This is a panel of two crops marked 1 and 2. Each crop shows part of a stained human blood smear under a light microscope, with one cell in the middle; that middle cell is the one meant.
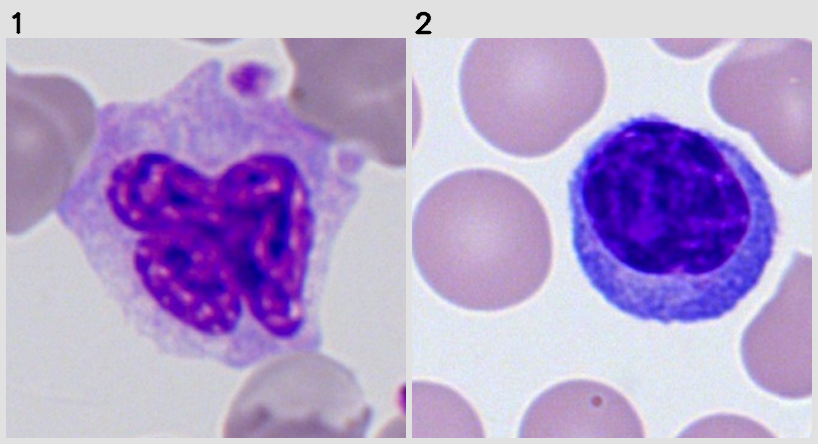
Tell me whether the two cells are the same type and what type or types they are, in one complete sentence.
No, crop 2 centres on a lymphocyte, and crop 1 centres on a monocyte.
